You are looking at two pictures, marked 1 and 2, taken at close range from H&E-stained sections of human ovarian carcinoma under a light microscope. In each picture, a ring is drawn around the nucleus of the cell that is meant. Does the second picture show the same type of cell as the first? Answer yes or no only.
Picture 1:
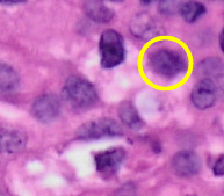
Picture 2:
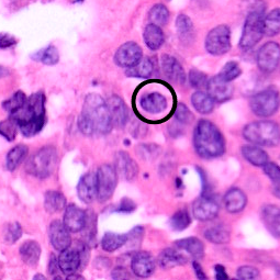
no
